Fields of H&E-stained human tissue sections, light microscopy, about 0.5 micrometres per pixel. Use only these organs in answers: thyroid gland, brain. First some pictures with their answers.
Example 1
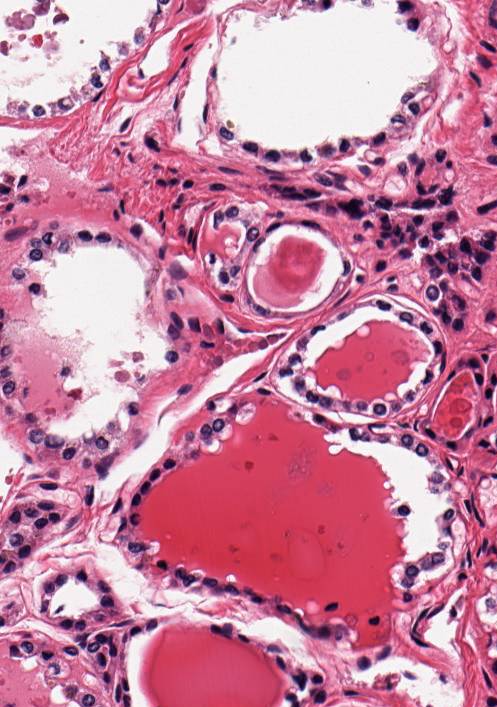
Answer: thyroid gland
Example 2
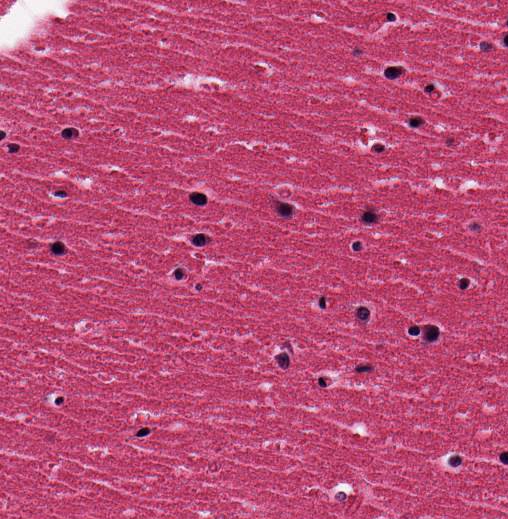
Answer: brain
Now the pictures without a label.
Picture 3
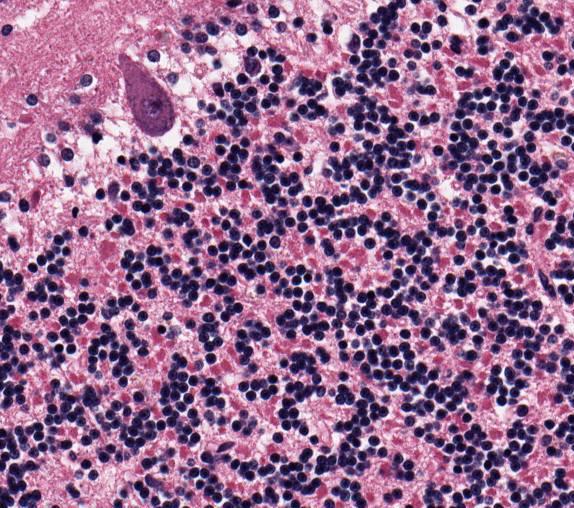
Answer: brain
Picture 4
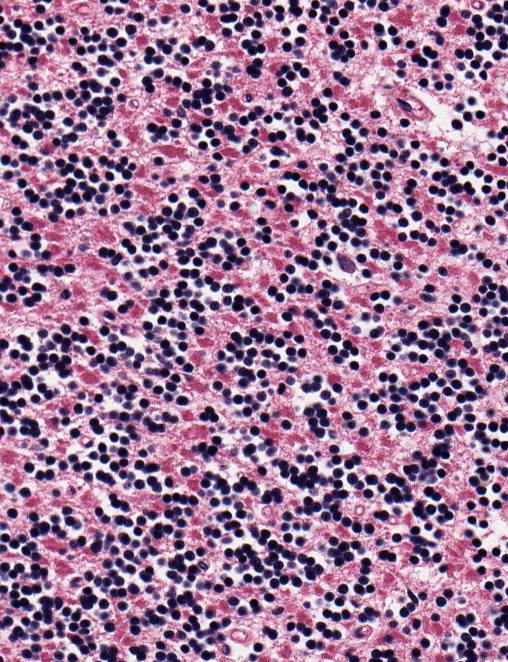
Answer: brain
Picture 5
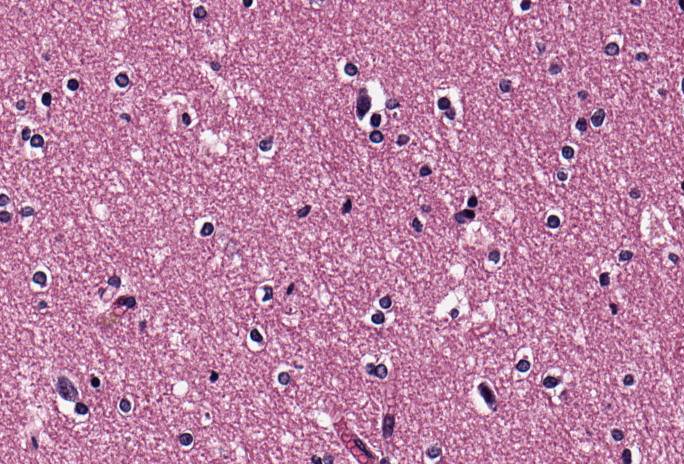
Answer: brain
